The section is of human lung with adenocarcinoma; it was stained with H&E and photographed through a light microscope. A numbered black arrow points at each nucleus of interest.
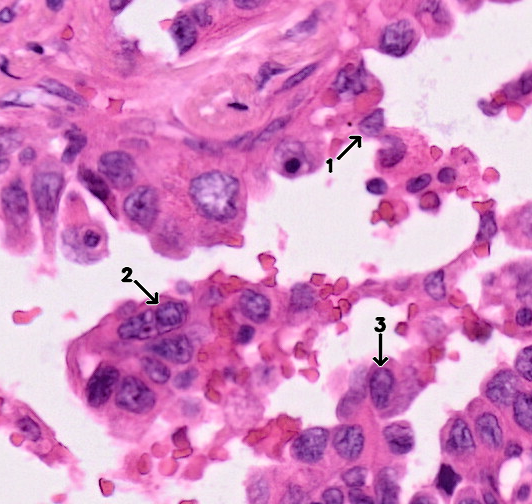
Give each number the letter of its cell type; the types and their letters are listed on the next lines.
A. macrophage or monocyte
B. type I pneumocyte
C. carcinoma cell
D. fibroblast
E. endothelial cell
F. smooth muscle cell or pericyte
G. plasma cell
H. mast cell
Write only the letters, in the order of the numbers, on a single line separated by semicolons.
A; C; C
